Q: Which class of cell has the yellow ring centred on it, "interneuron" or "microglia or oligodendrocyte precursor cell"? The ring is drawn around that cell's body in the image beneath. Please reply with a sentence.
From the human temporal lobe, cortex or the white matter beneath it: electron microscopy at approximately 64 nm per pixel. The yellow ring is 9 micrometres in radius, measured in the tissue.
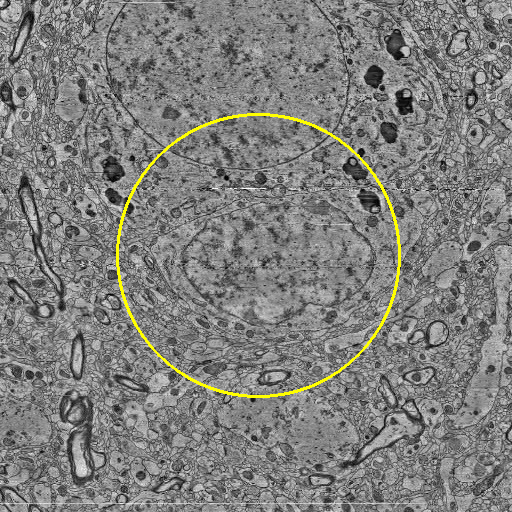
It is centred on an interneuron.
